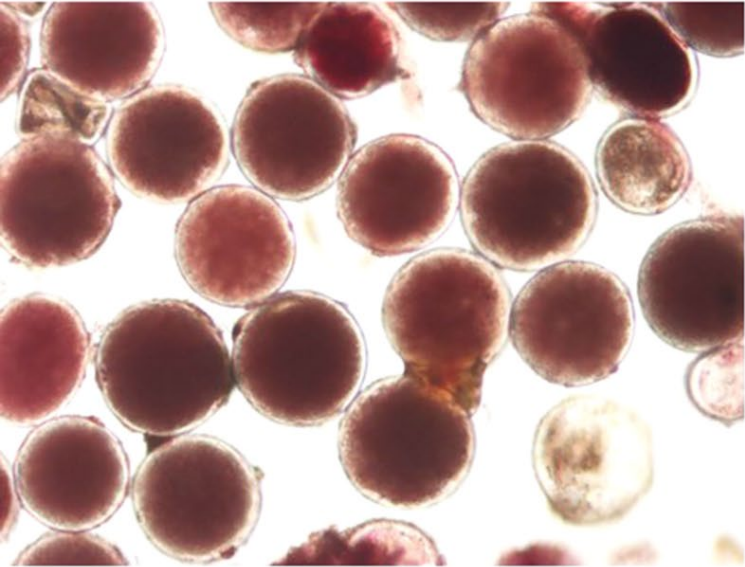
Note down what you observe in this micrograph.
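Loose pollen grains, round and of fairly even size, lying singly or touching. Most are filled with finely granular reddish-brown content inside a thin clear wall. A few grains are pale, nearly empty or shrunken, with only scattered brownish granules. Small fragments of debris lie between the grains.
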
